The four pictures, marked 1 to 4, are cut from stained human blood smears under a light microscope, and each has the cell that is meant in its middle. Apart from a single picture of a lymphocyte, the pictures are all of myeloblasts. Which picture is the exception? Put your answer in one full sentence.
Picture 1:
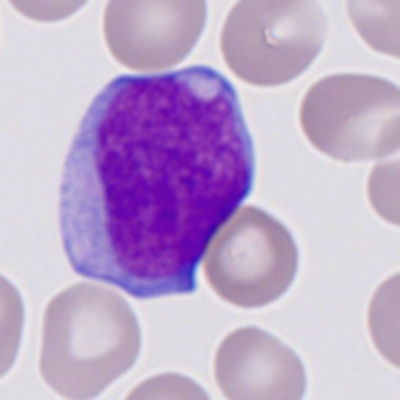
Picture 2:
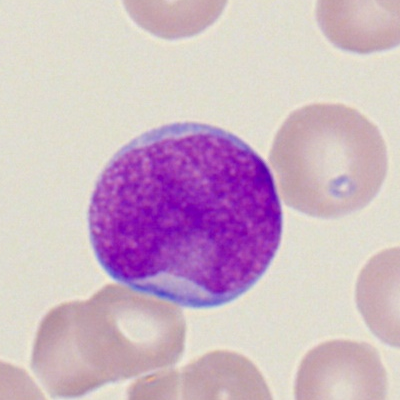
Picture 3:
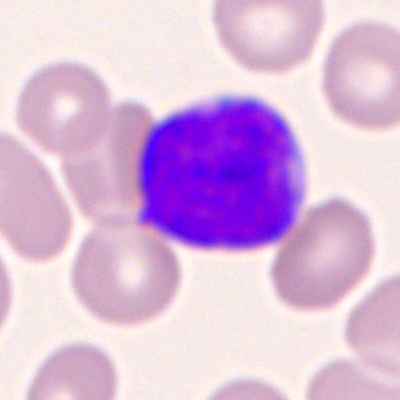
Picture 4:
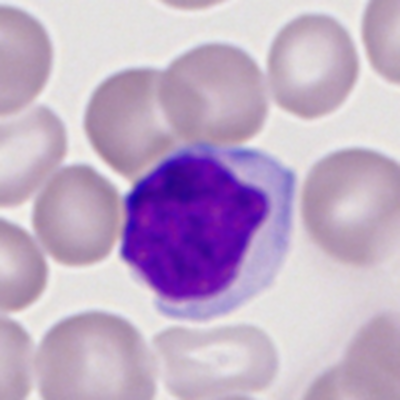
Picture 4 shows the lymphocyte.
